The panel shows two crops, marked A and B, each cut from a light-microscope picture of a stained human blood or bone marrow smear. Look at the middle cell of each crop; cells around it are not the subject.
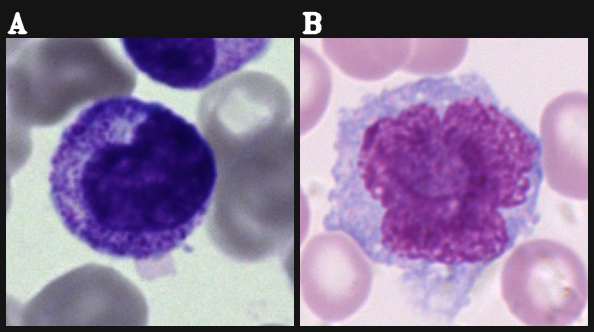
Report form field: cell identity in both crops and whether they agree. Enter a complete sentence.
No, a metamyelocyte and a monocyte are found in crop A and crop B, respectively.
